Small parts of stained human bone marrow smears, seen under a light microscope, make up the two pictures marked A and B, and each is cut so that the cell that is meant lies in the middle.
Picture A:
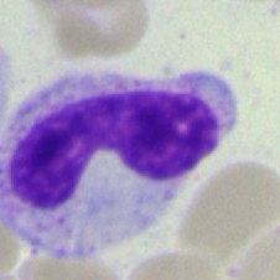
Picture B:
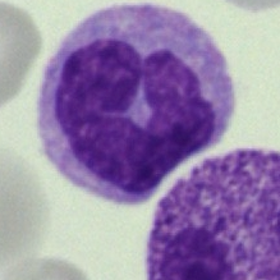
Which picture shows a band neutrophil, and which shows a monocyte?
A: band neutrophil
B: monocyte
